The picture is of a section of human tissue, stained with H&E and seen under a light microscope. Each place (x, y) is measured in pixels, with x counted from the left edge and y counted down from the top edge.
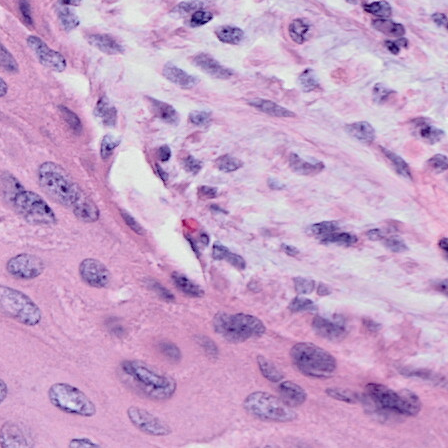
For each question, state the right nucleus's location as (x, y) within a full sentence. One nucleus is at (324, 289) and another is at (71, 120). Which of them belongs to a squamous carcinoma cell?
The one at (71, 120) is the nucleus belonging to a squamous carcinoma cell, not the other one.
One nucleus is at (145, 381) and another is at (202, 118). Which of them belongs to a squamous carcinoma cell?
Lying within a squamous carcinoma cell is the nucleus at (145, 381).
